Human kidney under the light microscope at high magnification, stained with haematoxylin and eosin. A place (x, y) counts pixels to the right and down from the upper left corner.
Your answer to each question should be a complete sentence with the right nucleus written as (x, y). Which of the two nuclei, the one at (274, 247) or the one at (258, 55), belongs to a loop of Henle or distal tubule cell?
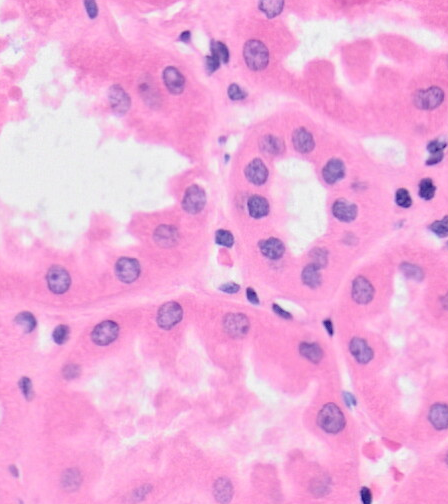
The nucleus of the pair that lies within a loop of Henle or distal tubule cell is at (274, 247).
